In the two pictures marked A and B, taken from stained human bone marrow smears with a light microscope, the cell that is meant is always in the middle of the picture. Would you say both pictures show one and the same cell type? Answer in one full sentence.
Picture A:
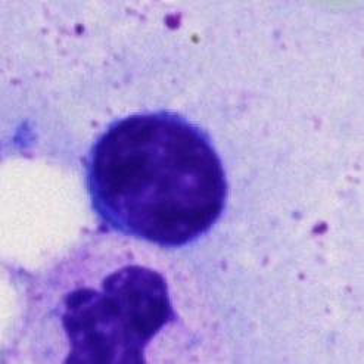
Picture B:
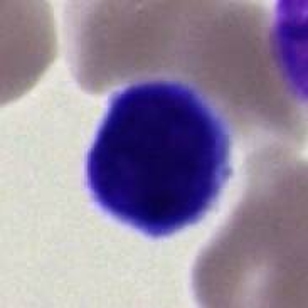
Yes; the cells in both pictures are lymphocytes.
